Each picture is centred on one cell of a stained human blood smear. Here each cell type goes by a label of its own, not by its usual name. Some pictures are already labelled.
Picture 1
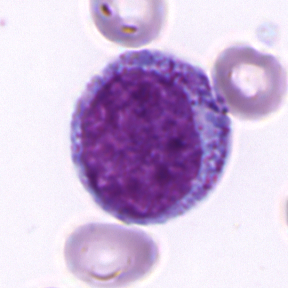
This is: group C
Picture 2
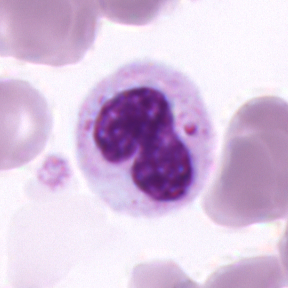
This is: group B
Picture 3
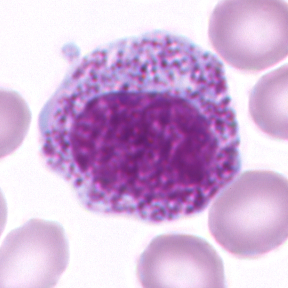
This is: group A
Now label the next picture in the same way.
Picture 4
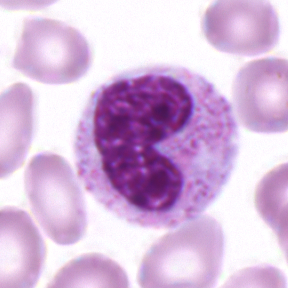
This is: group B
